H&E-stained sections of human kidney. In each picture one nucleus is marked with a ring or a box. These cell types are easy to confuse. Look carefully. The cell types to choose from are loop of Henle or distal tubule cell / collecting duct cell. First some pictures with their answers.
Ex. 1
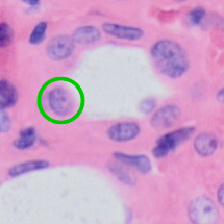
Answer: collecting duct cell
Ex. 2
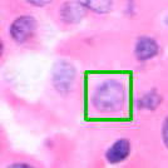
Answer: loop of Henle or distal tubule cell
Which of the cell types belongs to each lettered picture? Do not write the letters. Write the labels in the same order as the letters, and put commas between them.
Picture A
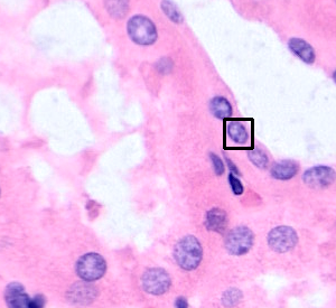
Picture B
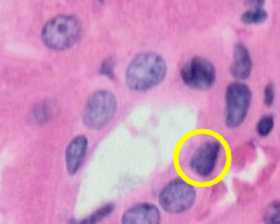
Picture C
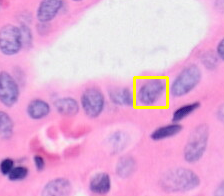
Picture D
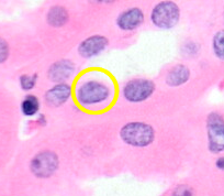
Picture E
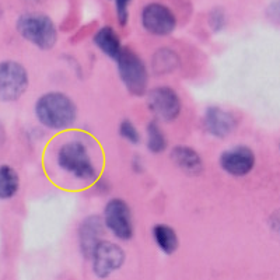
collecting duct cell, collecting duct cell, collecting duct cell, collecting duct cell, collecting duct cell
